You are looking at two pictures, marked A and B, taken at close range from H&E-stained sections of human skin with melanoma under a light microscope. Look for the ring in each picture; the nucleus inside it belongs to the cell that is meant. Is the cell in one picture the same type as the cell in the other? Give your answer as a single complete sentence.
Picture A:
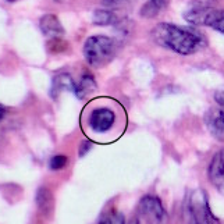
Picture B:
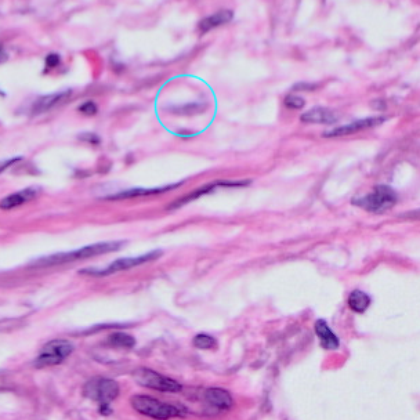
No, picture A shows a lymphocyte and picture B shows a “fibroblast or myofibroblast”.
